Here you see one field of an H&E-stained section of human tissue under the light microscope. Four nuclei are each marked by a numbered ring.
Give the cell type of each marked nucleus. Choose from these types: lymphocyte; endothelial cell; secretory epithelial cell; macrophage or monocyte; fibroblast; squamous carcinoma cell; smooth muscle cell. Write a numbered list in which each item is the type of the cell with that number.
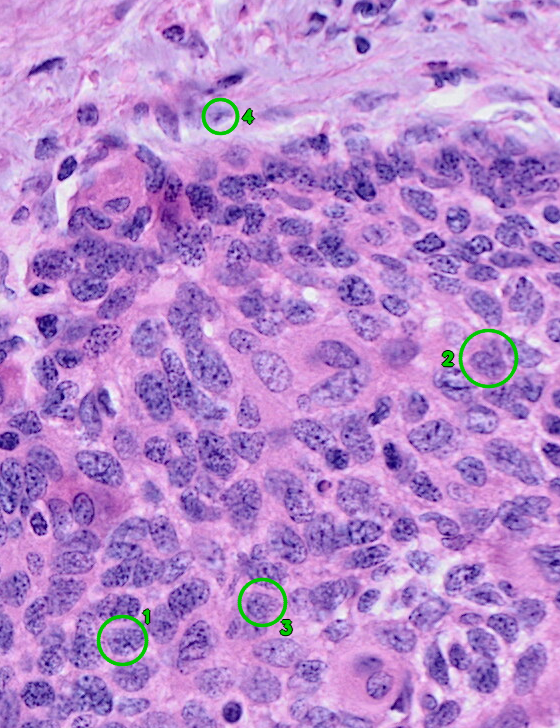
1. squamous carcinoma cell
2. squamous carcinoma cell
3. squamous carcinoma cell
4. fibroblast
